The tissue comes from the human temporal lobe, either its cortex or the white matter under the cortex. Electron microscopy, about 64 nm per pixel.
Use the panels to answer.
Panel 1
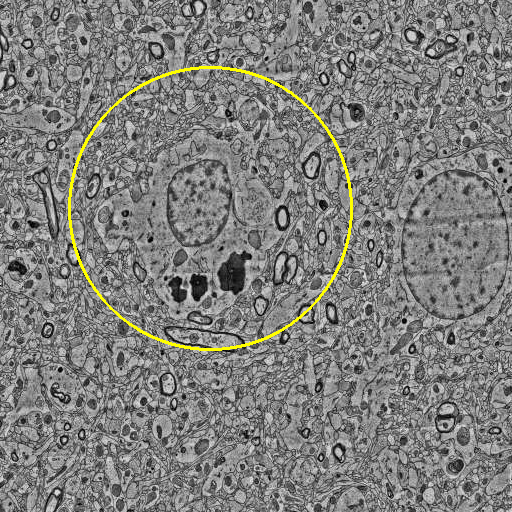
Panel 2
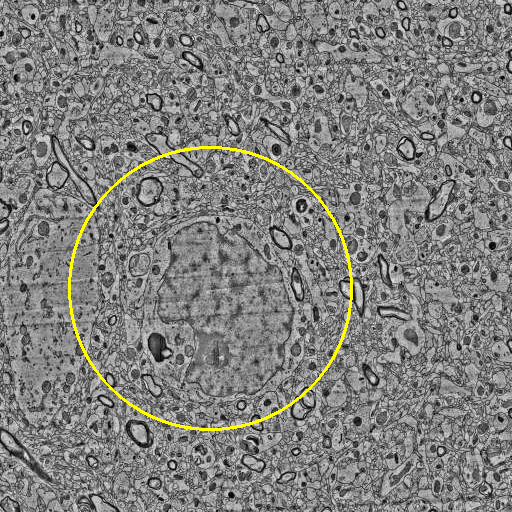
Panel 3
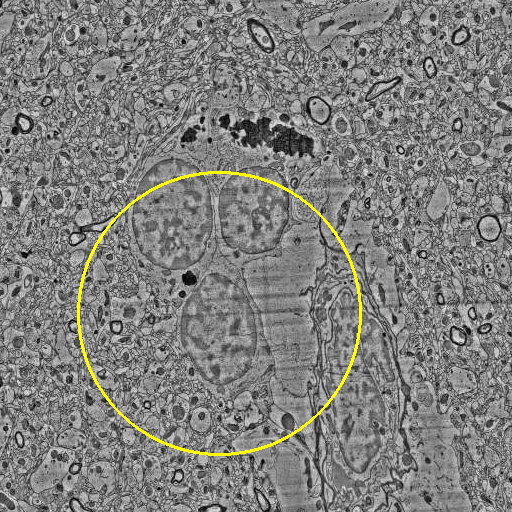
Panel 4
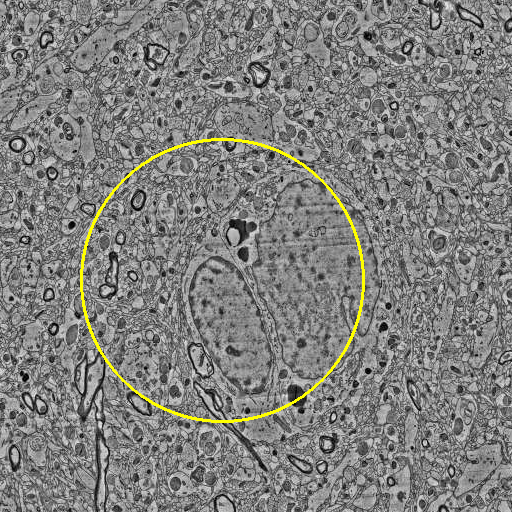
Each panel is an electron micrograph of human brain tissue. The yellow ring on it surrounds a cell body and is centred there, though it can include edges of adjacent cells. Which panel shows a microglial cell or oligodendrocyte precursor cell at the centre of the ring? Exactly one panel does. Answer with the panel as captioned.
Panel 4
